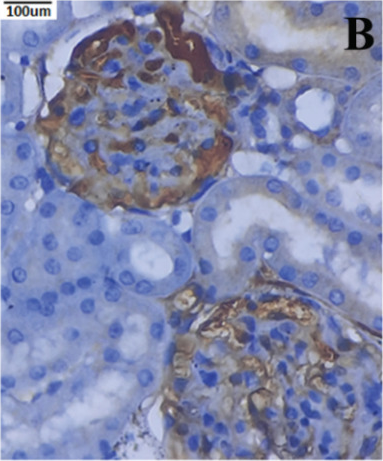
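Two glomeruli of the renal cortex lie among tubules lined by cuboidal epithelial cells. The upper glomerulus is crowded with blue nuclei and carries dense, dark-brown staining, heaviest along its outer part, while the lower one shows a network of brown along its capillary loops. The tubules around them have round blue nuclei, pale cytoplasm and open lumina with little brown stain.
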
